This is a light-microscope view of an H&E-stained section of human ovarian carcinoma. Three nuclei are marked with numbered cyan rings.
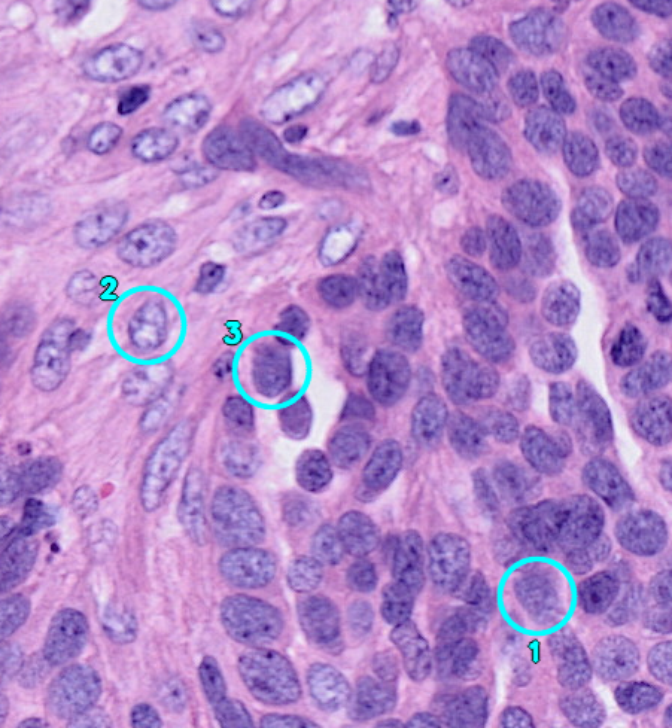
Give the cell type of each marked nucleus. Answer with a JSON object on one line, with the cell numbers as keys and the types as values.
{"1": "carcinoma cell", "2": "fibroblast", "3": "carcinoma cell"}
